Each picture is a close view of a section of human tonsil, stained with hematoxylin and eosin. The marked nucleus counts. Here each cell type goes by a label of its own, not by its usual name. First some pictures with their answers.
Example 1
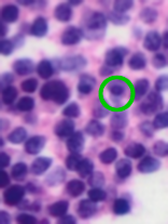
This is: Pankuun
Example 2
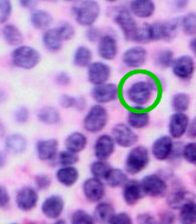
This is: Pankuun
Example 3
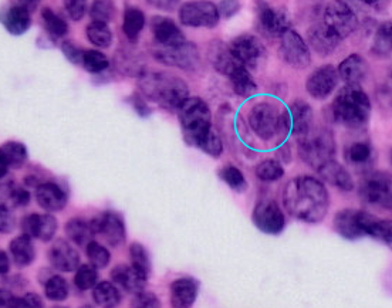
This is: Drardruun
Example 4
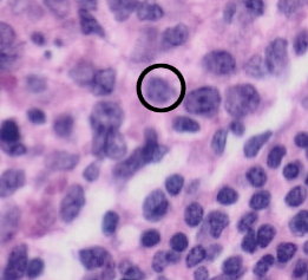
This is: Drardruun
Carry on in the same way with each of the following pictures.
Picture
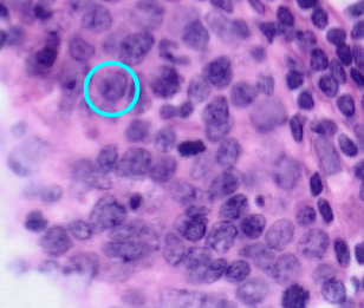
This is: Drardruun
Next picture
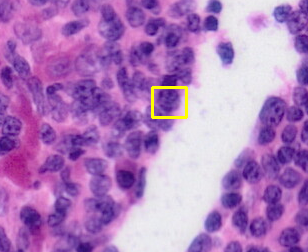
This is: Drardruun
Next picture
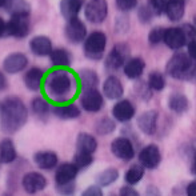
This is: Pankuun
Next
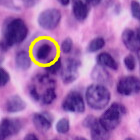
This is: Drardruun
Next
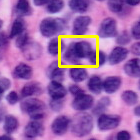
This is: Pankuun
